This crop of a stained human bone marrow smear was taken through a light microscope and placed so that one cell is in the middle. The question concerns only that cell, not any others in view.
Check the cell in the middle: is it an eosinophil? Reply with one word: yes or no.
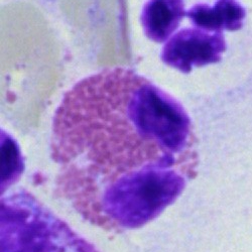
yes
